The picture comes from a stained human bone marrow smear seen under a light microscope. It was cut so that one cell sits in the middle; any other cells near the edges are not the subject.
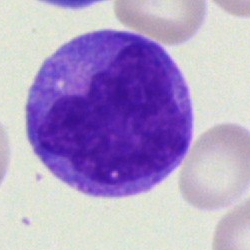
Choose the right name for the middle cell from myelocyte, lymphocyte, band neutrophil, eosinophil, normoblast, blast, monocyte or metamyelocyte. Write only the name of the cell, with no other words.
monocyte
